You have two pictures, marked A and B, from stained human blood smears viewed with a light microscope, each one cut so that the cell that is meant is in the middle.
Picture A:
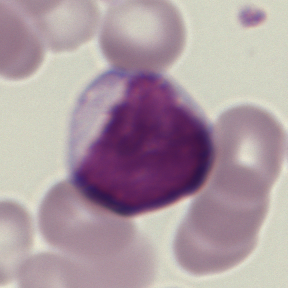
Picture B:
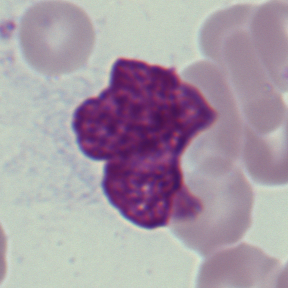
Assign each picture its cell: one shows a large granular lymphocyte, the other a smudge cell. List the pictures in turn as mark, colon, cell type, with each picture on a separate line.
A: large granular lymphocyte
B: smudge cell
